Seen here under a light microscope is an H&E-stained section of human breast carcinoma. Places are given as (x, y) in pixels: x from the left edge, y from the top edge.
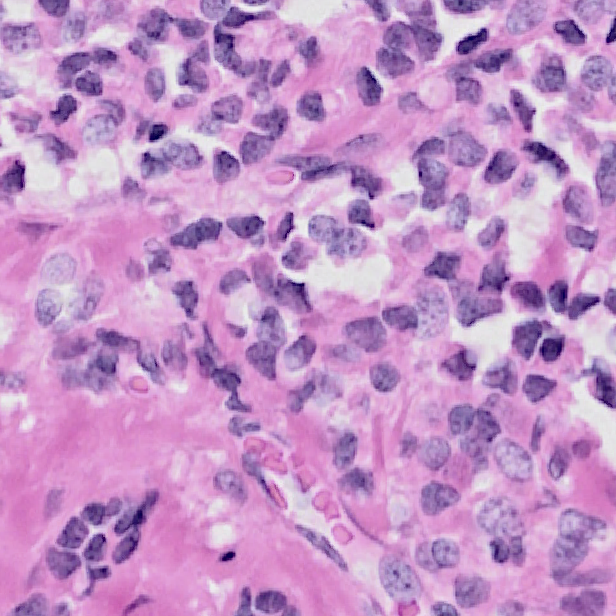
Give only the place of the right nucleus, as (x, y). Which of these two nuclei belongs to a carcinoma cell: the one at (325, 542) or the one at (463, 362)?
(463, 362)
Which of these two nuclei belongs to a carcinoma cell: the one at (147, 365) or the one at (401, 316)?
(401, 316)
